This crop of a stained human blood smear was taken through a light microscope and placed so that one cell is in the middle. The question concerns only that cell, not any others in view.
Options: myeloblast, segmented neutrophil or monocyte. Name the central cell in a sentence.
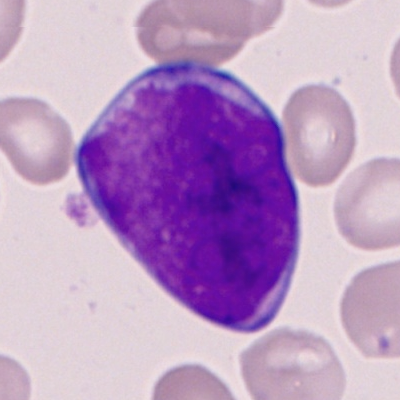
This particular crop is centered on a myeloblast.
